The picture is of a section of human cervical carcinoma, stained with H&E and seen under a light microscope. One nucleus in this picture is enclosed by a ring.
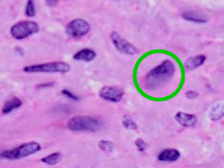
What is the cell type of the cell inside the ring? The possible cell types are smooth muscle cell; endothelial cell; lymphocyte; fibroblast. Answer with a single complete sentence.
Among the cells in this section, the cell inside the ring is a fibroblast.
